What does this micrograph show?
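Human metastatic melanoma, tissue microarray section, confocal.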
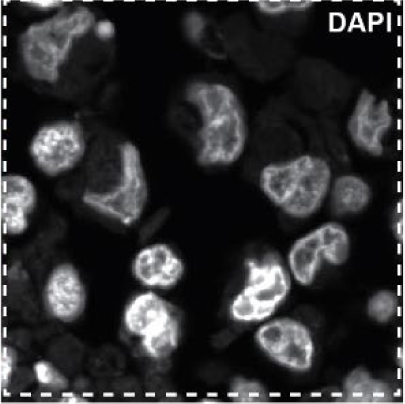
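The nuclei vary clearly in size and shape, and many have irregular, angular or indented outlines rather than smooth ovals. The chromatin appears coarse and unevenly distributed, with bright clumps and bright folds or rims within several nuclei. Some nuclei appear dim and out of focus, and the nuclei lie at uneven distances from one another.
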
